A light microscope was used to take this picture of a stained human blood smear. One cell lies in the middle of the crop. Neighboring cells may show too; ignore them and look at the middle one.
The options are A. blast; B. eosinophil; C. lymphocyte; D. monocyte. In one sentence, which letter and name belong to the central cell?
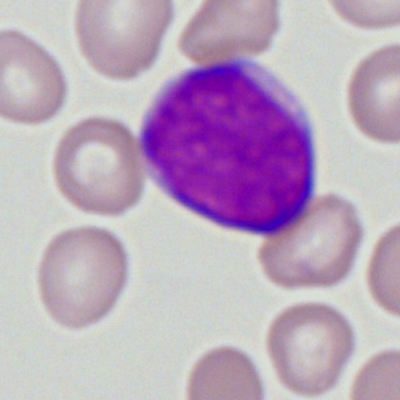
The central cell is a blast, which makes option A the right answer.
